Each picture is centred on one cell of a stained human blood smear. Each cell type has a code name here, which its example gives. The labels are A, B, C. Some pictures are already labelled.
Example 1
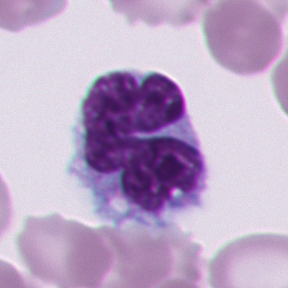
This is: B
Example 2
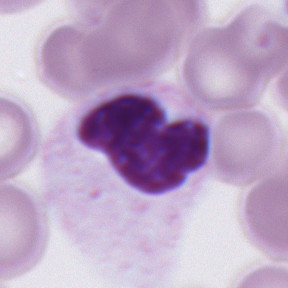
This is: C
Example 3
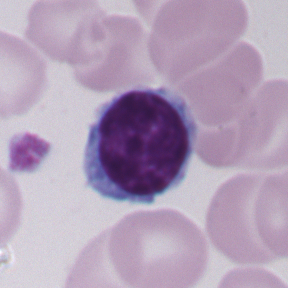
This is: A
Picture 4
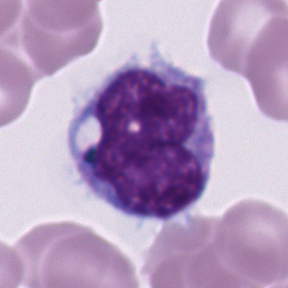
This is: B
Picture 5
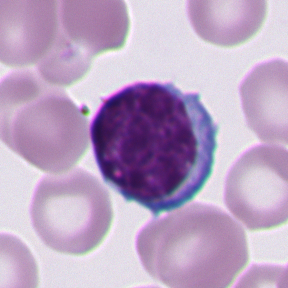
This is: A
